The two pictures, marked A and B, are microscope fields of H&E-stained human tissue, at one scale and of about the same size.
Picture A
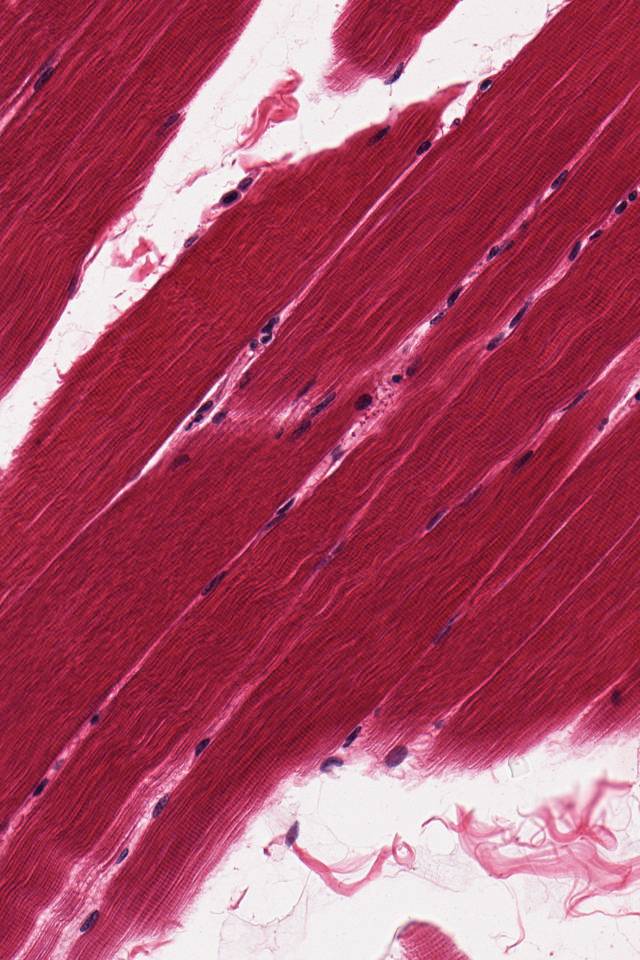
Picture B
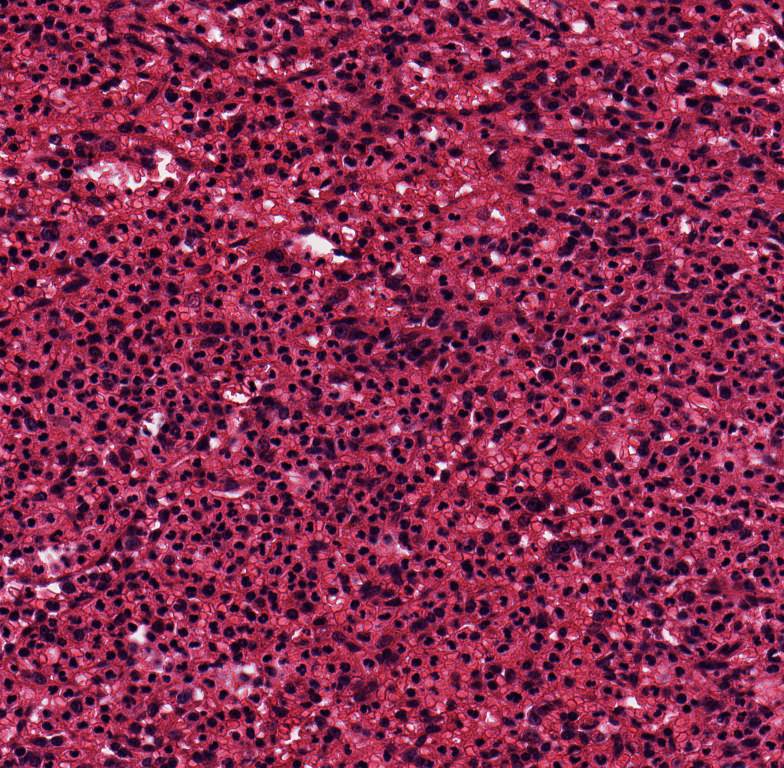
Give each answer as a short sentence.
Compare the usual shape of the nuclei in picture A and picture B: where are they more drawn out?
On the whole the nuclei of picture A are more drawn out than those of picture B.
